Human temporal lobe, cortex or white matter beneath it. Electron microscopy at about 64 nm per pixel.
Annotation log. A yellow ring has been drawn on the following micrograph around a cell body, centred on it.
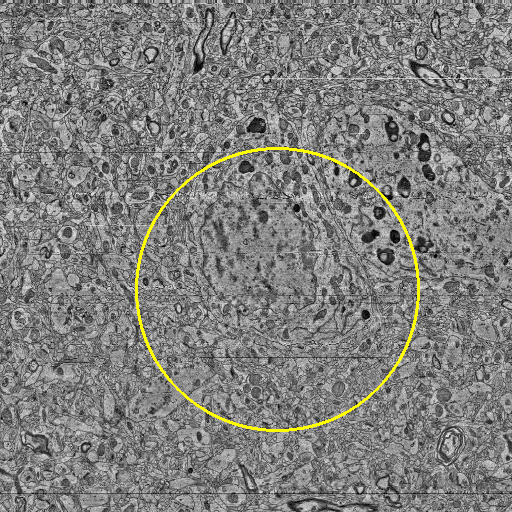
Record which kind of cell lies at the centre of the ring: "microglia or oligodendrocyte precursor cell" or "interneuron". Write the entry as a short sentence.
The cell the ring is centred on is an interneuron.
